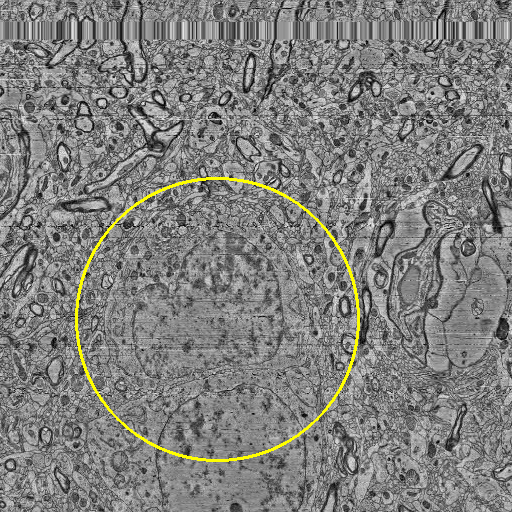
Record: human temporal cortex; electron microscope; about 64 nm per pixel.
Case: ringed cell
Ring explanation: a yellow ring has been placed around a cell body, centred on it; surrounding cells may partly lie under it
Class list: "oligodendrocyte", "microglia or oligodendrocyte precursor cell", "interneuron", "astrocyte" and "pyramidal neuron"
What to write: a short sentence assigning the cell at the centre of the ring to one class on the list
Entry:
The cell at the ring's centre is an interneuron.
